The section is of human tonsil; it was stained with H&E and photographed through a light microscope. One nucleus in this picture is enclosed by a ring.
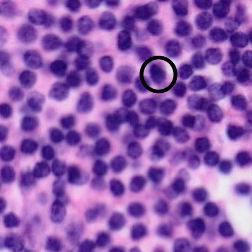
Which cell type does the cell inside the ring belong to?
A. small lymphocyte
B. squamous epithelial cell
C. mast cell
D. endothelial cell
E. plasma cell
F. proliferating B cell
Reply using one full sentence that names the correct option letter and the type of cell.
The correct option is A, and the cell inside the ring is a small lymphocyte.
